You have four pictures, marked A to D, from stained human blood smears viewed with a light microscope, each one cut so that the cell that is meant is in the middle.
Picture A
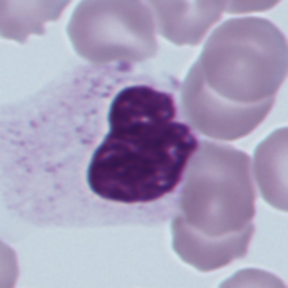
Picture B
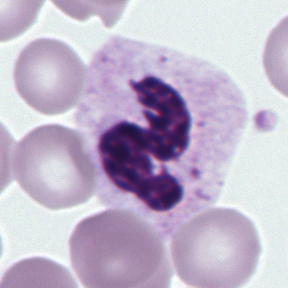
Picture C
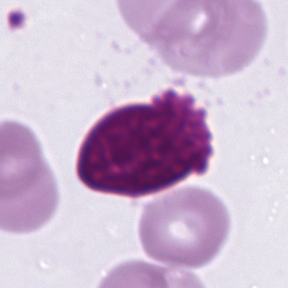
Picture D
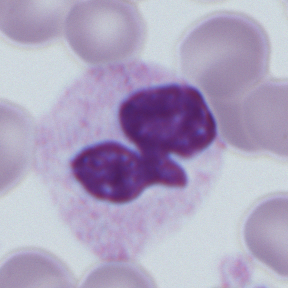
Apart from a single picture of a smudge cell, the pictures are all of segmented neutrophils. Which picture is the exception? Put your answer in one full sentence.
Picture C shows the smudge cell.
